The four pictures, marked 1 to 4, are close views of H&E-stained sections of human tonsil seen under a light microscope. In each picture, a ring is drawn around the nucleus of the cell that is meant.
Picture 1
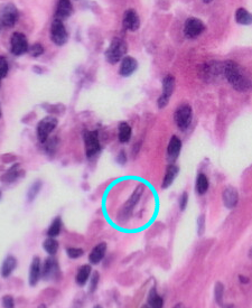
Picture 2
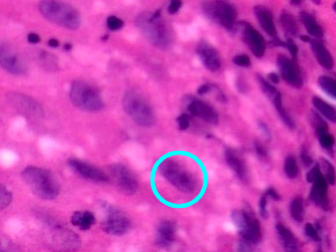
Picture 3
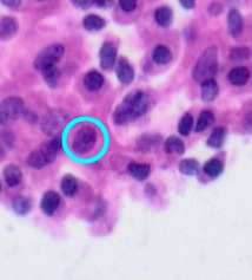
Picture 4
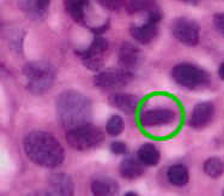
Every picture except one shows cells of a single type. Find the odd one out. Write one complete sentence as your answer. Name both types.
The different one is picture 1; it shows an endothelial cell, whereas all the others show squamous epithelial cells.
